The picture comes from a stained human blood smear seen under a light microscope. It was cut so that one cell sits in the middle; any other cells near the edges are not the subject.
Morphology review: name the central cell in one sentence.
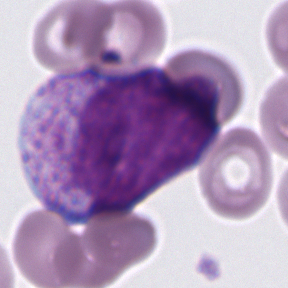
Whatever else lies nearby, the middle cell is an atypical promyelocyte.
